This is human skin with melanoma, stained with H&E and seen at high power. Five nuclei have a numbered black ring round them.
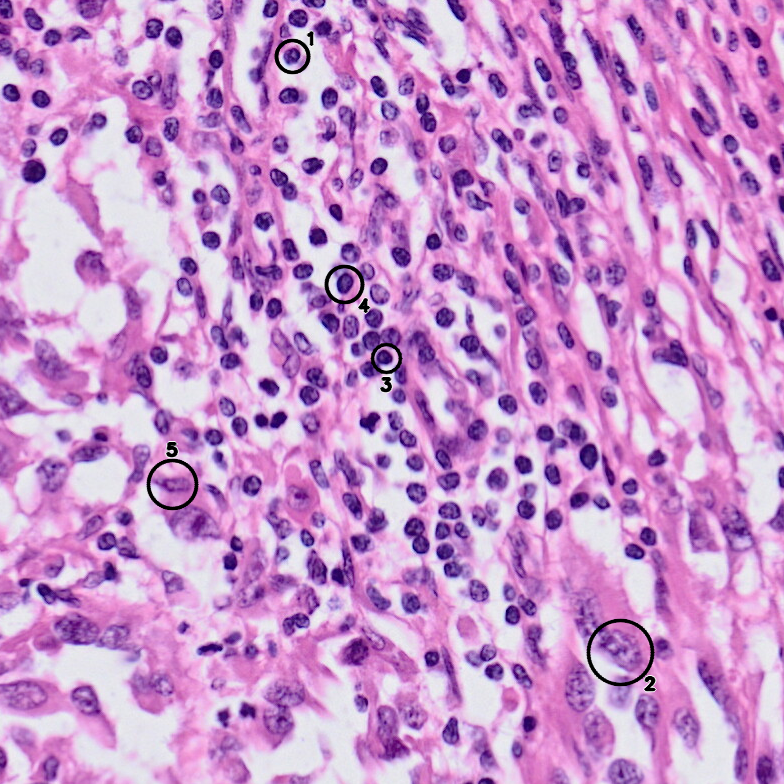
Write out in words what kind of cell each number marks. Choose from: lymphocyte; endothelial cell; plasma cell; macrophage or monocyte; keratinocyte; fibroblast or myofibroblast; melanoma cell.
Cell 1 is a lymphocyte, cell 2 is a melanoma cell, cell 3 is a lymphocyte, cell 4 is a lymphocyte and cell 5 is a melanoma cell.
